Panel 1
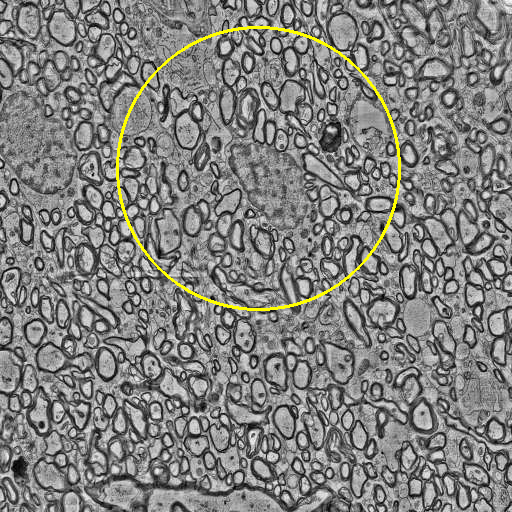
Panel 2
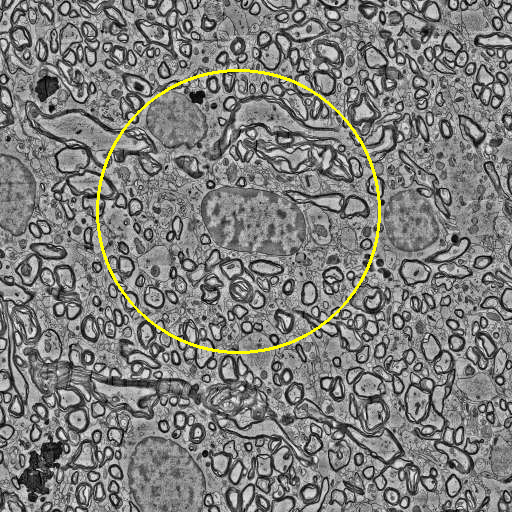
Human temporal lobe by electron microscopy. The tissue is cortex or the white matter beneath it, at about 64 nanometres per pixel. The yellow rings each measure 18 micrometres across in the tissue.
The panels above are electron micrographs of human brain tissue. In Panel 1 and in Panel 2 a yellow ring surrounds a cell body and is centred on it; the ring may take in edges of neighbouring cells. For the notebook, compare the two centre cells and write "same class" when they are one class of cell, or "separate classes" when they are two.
separate classes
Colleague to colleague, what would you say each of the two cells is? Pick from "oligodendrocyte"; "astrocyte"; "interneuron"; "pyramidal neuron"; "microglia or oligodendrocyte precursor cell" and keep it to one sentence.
The cell in the first picture is an oligodendrocyte; the second picture's cell is a microglial cell or oligodendrocyte precursor cell.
